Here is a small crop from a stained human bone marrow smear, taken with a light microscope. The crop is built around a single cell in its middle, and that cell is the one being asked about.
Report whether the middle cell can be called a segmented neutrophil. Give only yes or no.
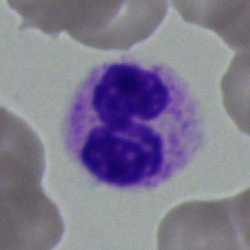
yes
